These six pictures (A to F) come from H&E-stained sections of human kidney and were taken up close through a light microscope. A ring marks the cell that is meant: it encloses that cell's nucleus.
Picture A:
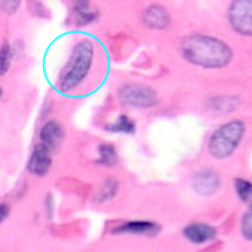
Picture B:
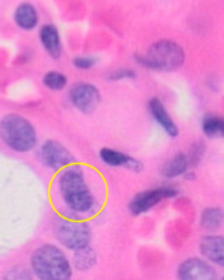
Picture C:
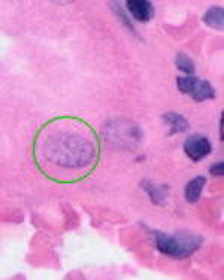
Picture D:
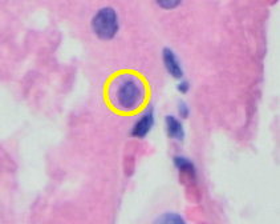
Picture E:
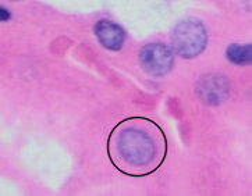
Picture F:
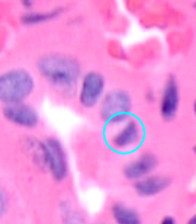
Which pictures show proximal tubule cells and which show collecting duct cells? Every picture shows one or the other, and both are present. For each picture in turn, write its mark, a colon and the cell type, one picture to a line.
A: collecting duct cell
B: collecting duct cell
C: proximal tubule cell
D: proximal tubule cell
E: proximal tubule cell
F: collecting duct cell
